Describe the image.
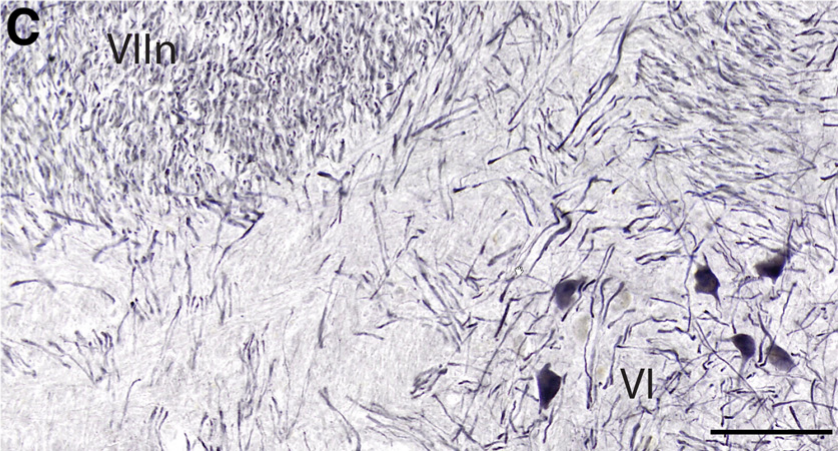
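In the upper left, many short, dark purple fiber segments are packed closely, running in roughly parallel oblique directions, forming a compact nerve bundle. Below and to the right, the fibers loosen into scattered, longer dark strands crossing a pale background. In the lower right, several large dark purple cell bodies with angular, triangular or multipolar shapes sit among these fibers, with stained processes passing around them. The background is pale, with faint unstained outlines of other cell bodies.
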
